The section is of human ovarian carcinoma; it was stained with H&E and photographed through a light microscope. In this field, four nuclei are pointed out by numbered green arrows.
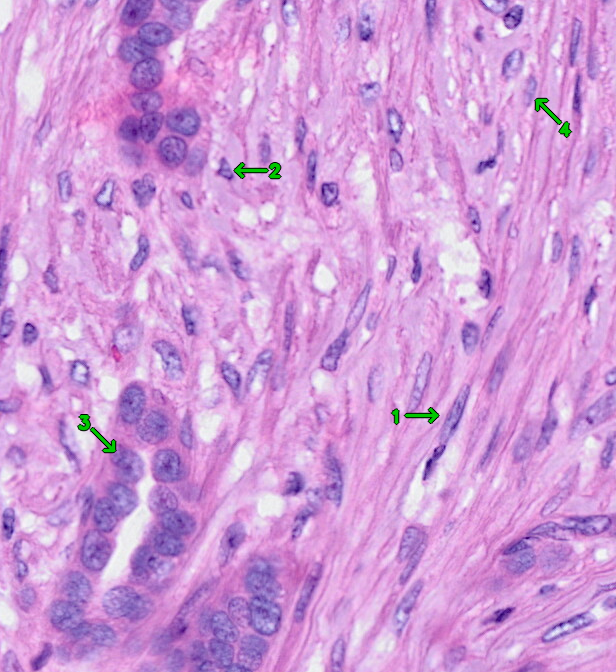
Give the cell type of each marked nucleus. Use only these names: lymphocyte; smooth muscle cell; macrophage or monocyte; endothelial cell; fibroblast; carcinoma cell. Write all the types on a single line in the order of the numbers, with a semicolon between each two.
fibroblast; fibroblast; carcinoma cell; fibroblast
